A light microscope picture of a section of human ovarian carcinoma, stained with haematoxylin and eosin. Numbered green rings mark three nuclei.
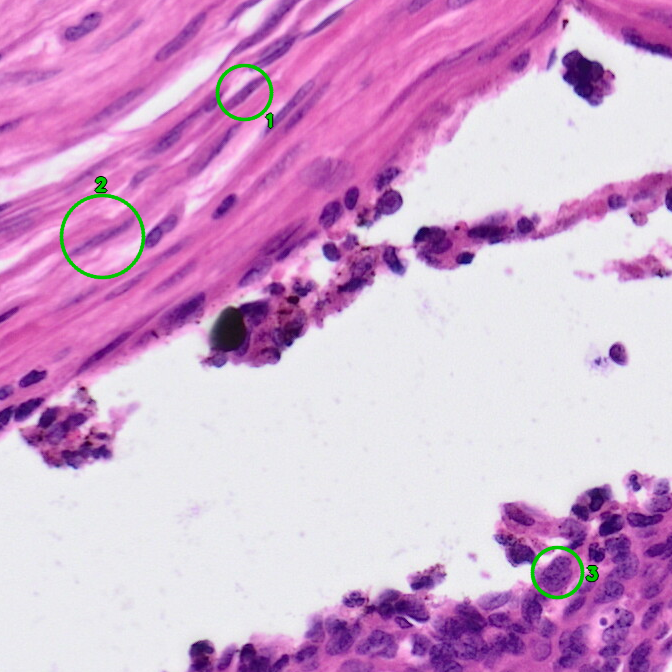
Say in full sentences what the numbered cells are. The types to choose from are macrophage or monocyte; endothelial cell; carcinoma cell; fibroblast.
Cells 1 and 2 are fibroblasts. Cell 3 is a carcinoma cell.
